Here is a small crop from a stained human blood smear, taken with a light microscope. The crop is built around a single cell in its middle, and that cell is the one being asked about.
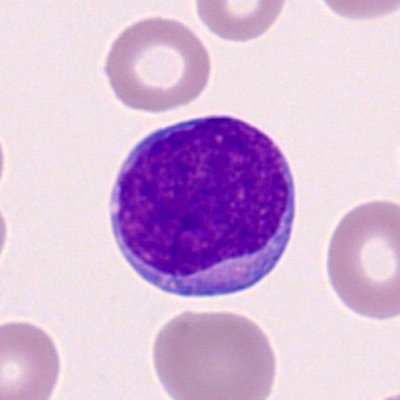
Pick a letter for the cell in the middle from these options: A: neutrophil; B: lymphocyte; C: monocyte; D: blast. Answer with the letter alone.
D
